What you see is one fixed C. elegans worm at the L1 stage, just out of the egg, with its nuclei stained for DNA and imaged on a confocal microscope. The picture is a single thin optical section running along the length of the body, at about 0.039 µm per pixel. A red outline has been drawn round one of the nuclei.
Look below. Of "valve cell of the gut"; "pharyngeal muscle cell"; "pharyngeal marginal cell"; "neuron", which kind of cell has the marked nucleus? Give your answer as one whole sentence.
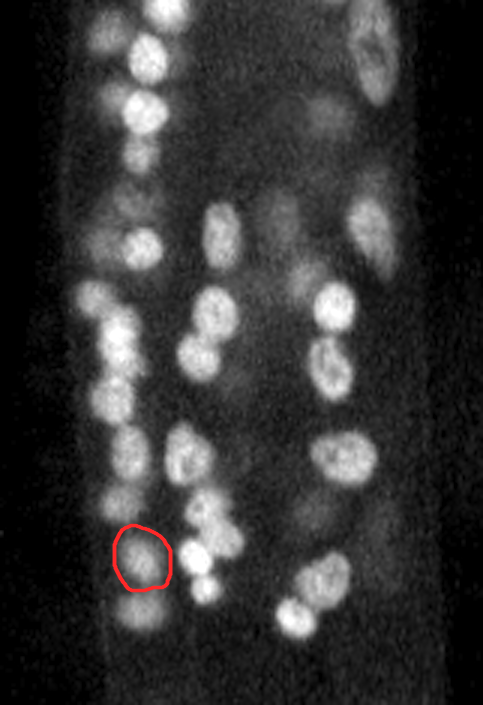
This is the nucleus of a neuron.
